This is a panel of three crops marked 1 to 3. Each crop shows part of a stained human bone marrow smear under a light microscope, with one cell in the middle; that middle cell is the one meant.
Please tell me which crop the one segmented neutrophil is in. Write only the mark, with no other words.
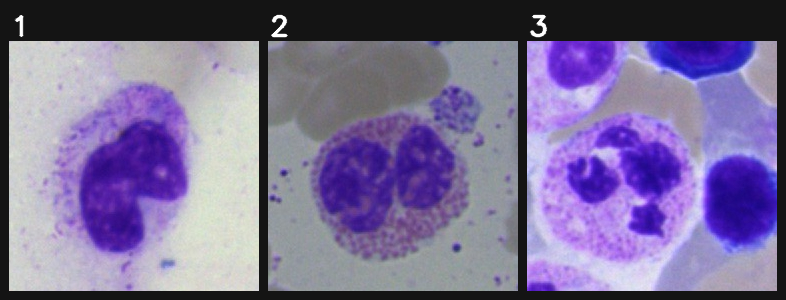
3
